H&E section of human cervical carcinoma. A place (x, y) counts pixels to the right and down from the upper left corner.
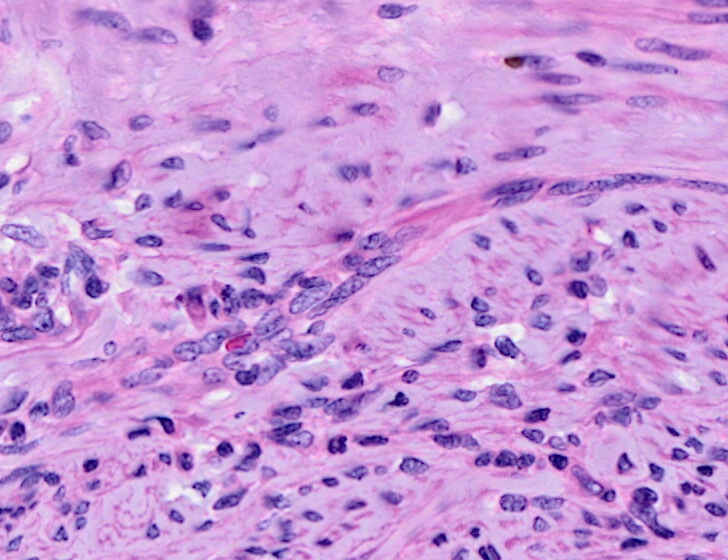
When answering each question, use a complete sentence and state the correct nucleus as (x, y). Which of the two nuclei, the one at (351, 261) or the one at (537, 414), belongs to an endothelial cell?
Of the two options, the nucleus at (351, 261) is the one that belongs to an endothelial cell.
